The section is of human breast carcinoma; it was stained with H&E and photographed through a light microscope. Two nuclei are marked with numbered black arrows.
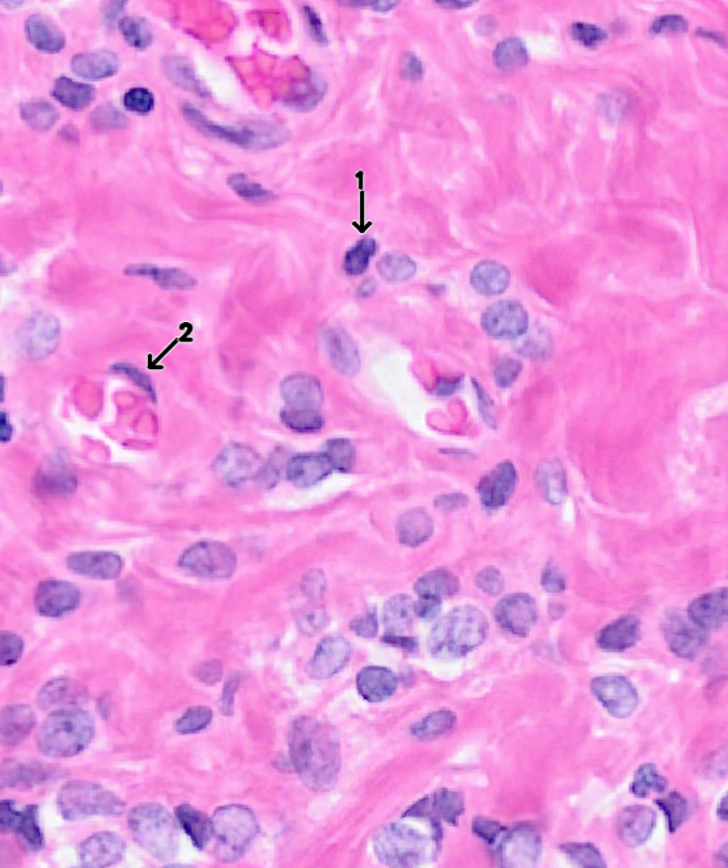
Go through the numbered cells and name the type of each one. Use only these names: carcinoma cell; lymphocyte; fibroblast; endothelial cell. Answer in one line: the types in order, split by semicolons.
lymphocyte; endothelial cell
